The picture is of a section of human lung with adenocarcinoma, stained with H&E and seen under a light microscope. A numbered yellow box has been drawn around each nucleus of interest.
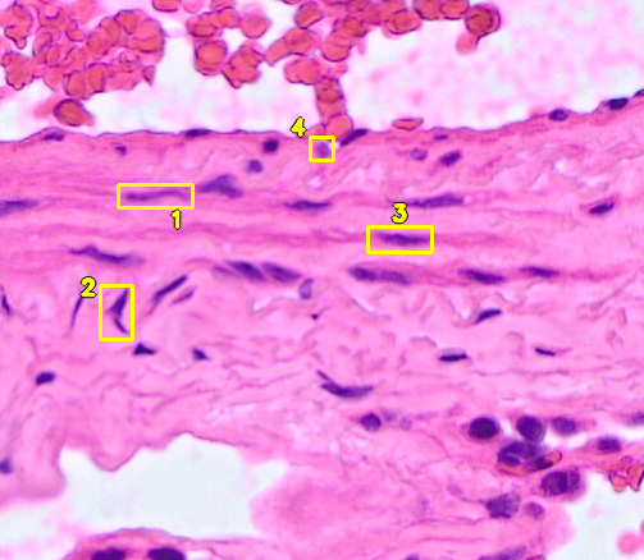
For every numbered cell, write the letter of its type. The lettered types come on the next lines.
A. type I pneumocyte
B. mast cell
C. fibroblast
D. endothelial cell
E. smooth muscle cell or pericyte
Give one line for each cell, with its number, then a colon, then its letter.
1: E
2: C
3: E
4: D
